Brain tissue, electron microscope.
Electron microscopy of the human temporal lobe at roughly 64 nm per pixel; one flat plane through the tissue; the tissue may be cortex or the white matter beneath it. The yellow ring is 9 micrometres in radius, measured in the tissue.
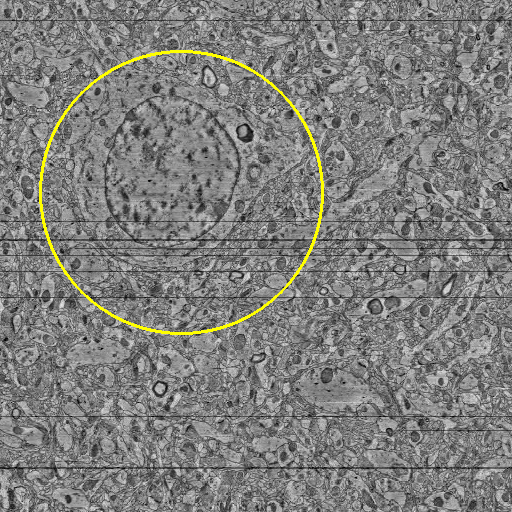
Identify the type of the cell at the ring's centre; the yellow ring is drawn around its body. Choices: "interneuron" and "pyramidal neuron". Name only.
pyramidal neuron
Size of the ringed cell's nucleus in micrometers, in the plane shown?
In this plane the nucleus measures roughly 10 by 9 micrometres.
